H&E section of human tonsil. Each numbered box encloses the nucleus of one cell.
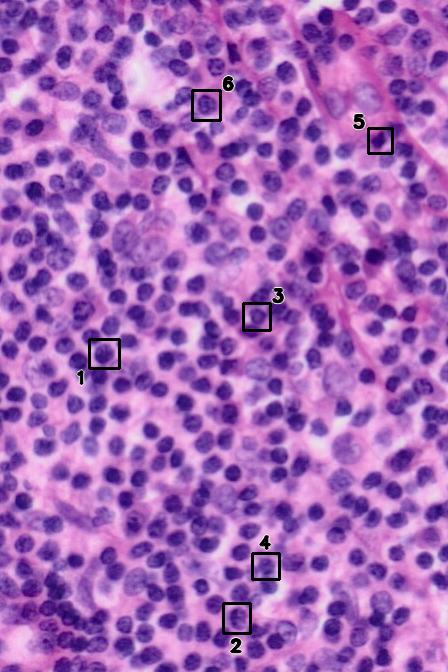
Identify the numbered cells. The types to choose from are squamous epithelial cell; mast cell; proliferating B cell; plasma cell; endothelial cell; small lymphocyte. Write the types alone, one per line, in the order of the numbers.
small lymphocyte
small lymphocyte
small lymphocyte
small lymphocyte
endothelial cell
plasma cell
